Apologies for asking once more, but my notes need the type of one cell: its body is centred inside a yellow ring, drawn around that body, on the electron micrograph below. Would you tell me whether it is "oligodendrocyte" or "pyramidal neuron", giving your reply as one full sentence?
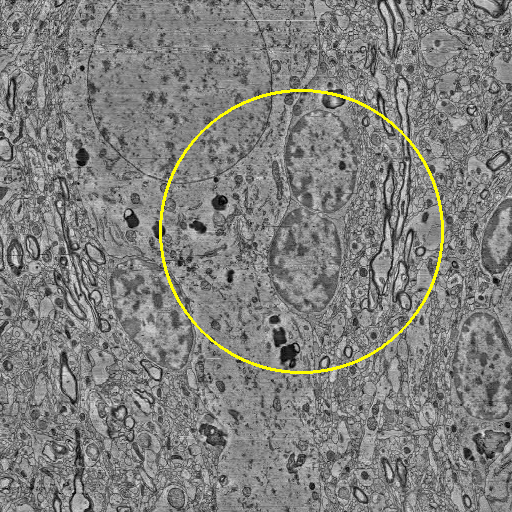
The cell that the yellow ring is centred on is an oligodendrocyte in this micrograph.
